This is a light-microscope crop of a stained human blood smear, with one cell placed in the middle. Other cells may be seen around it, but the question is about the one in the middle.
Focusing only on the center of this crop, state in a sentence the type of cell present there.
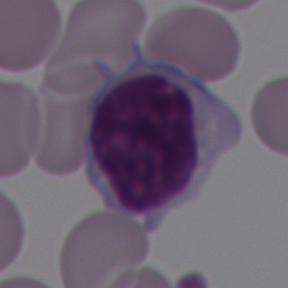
The cell centred in this crop is categorized as a typical lymphocyte.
